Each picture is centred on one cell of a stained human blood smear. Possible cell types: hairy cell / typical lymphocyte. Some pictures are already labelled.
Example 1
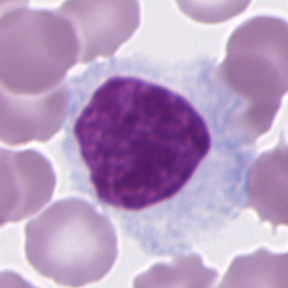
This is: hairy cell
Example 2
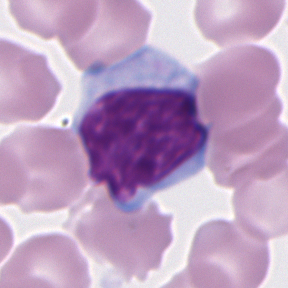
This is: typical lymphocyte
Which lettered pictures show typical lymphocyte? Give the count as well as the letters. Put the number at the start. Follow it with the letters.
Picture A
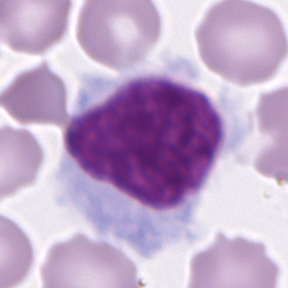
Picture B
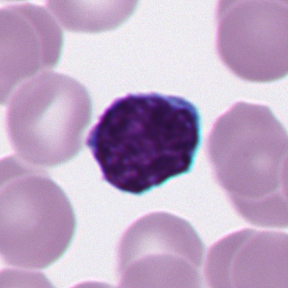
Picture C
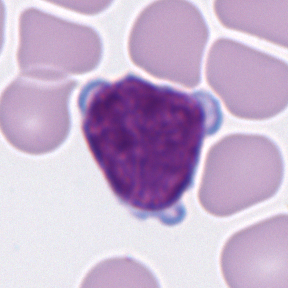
Count: 2 (B, C)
